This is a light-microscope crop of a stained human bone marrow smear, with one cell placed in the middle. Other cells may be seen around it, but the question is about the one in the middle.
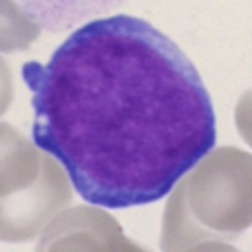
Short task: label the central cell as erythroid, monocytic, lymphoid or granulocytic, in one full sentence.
The centered cell is a member of the erythroid lineage.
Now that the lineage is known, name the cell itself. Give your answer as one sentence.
The central cell in this smear crop is a proerythroblast.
